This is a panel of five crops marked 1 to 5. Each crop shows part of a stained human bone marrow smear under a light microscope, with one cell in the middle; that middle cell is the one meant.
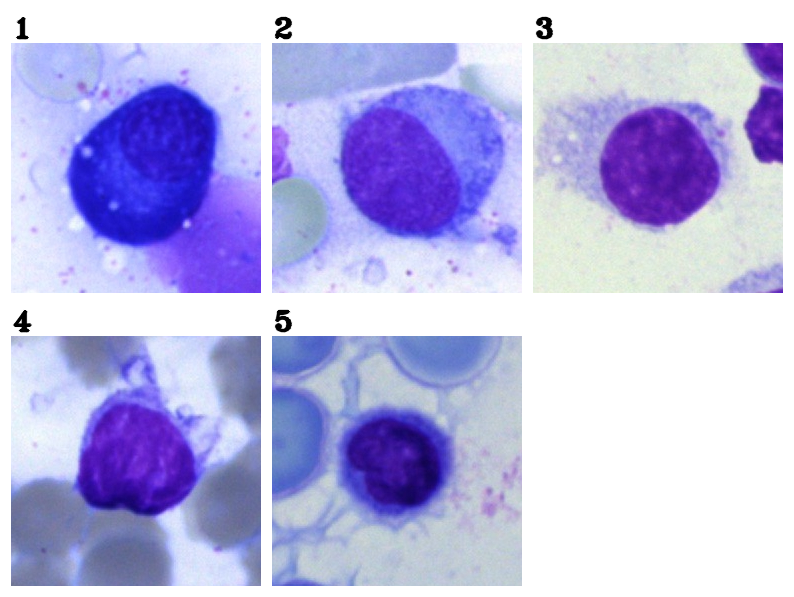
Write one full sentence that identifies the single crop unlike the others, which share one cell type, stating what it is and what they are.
In crop 1 the central cell is a plasma cell, whereas the other crops all contain hairy cells.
